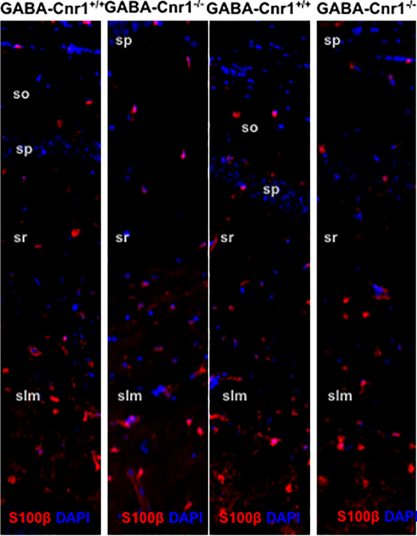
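Four narrow vertical strips run through the layers of the hippocampus on a dark background, each showing scattered small red astrocytic cell bodies among blue nuclei. The red cell bodies are small, rounded or irregular, some with short thin extensions, and they lie apart from one another. Toward the bottom of the strips the red cell bodies are more numerous than in the middle layers.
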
